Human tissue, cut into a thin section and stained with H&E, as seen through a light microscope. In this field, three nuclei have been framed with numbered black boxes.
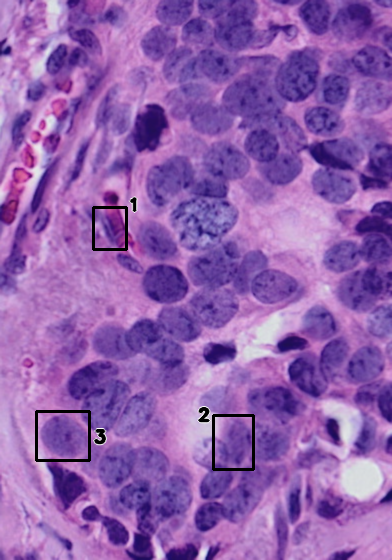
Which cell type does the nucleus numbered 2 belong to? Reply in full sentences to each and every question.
The cell that bears the number 2 is a carcinoma cell.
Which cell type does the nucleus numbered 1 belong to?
The numeral 1 marks an endothelial cell in this section.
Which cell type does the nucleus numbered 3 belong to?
The marked nucleus 3 is that of a carcinoma cell.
